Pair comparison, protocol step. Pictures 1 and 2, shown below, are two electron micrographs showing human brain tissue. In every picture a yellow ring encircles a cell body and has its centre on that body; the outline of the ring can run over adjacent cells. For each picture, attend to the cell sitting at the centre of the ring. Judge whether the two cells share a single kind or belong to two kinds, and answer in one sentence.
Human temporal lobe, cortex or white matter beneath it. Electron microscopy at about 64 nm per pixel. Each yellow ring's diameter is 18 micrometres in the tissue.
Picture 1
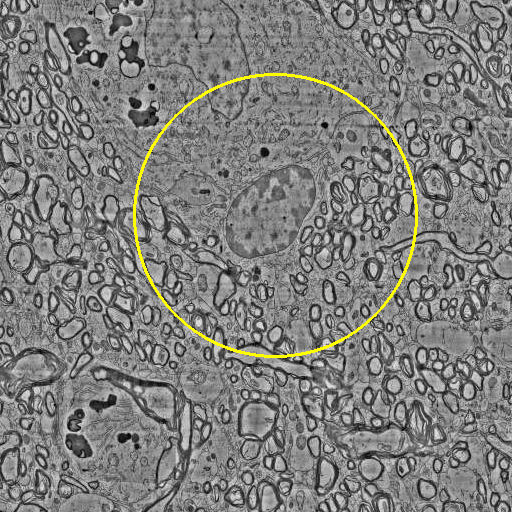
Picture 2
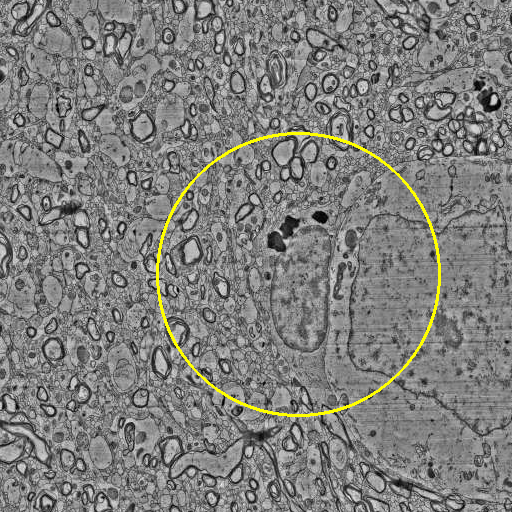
The two cells at the ring centres in Picture 1 and Picture 2 belong to two kinds.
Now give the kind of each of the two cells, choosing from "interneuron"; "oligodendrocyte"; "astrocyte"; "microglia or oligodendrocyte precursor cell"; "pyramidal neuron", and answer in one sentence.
The cell in the first picture is a microglial cell or oligodendrocyte precursor cell, and the cell in the second is an oligodendrocyte.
